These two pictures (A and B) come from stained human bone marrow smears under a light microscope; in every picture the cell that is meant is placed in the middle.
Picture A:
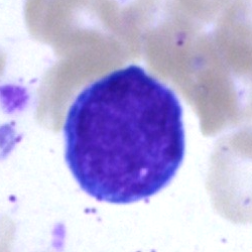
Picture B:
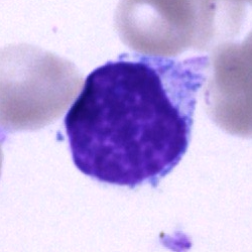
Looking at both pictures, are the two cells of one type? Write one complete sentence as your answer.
Yes, the two pictures both show lymphocytes.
